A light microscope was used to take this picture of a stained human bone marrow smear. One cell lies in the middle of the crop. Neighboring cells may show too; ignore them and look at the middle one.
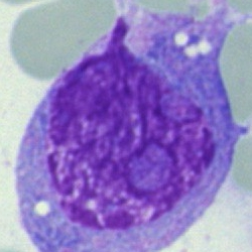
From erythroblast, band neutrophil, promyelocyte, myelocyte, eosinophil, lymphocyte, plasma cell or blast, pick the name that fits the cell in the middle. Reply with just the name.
blast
